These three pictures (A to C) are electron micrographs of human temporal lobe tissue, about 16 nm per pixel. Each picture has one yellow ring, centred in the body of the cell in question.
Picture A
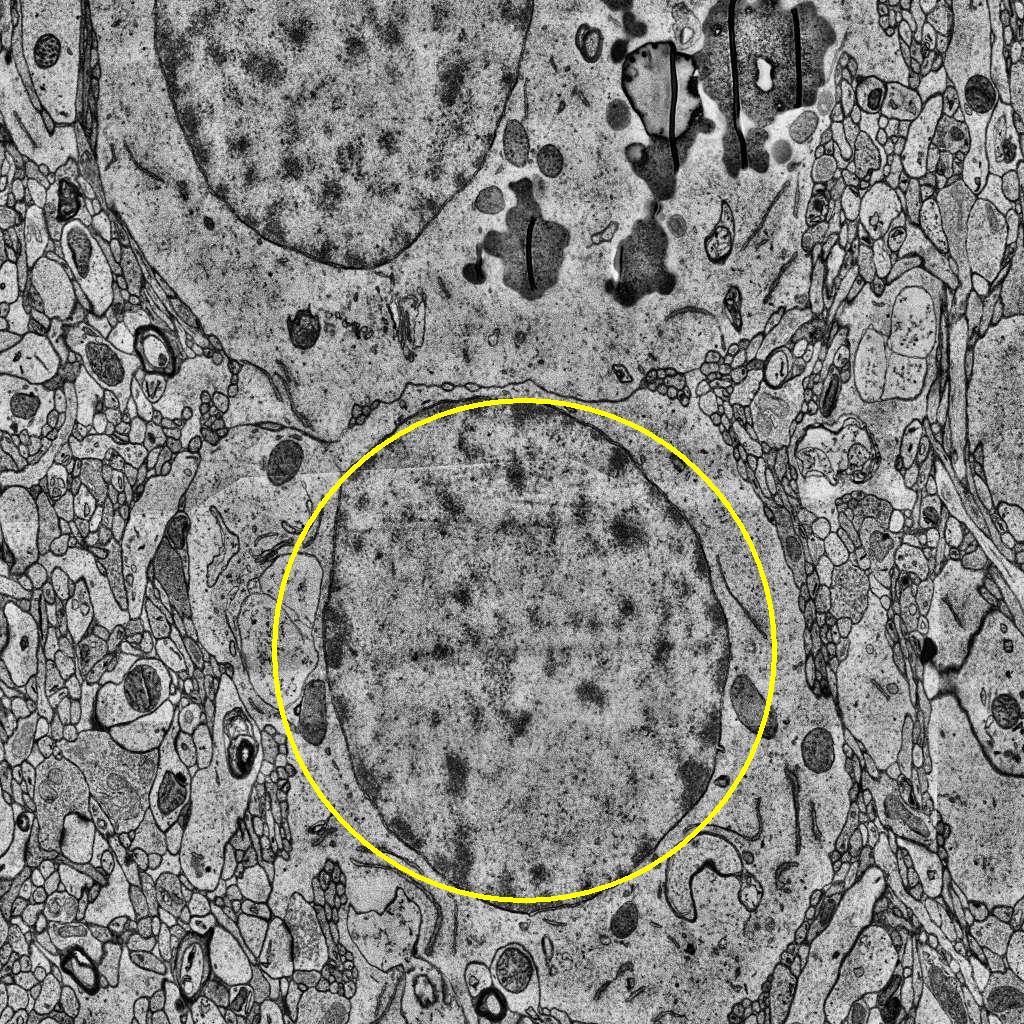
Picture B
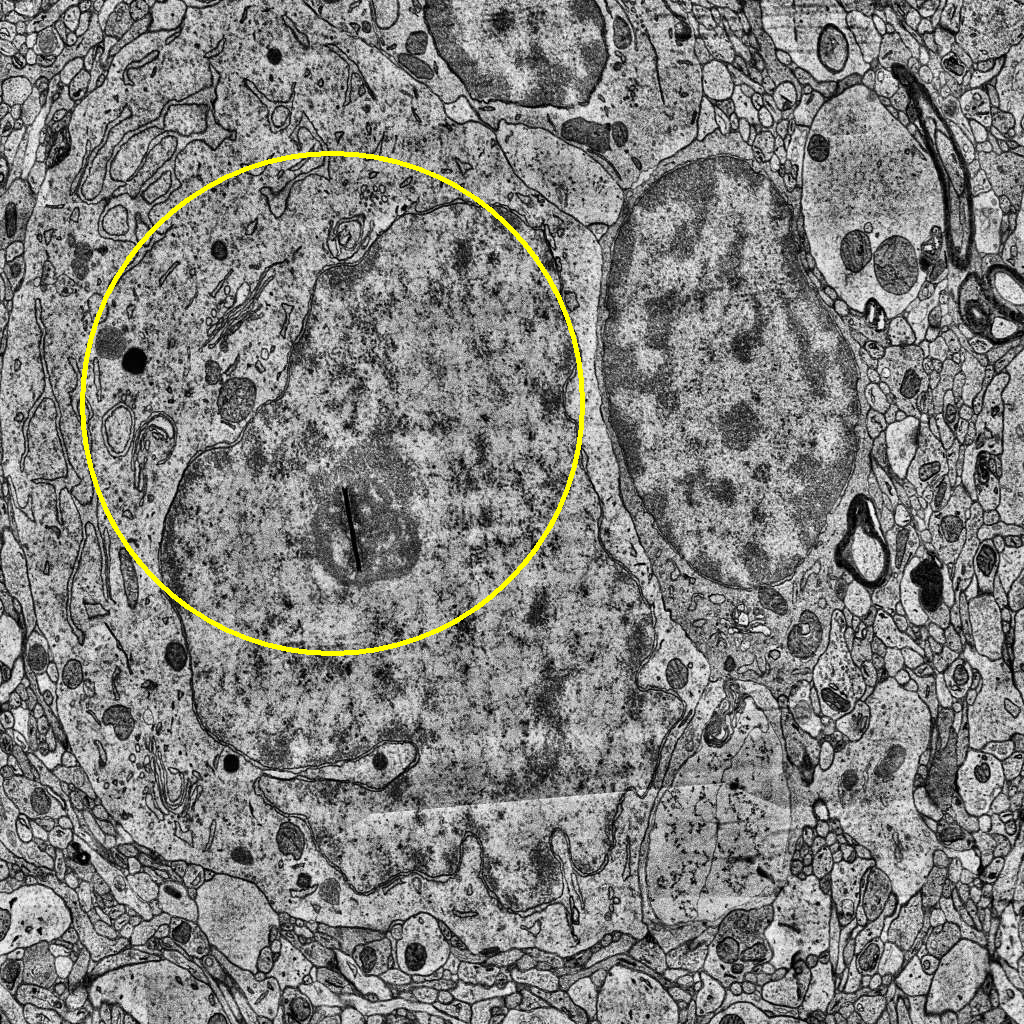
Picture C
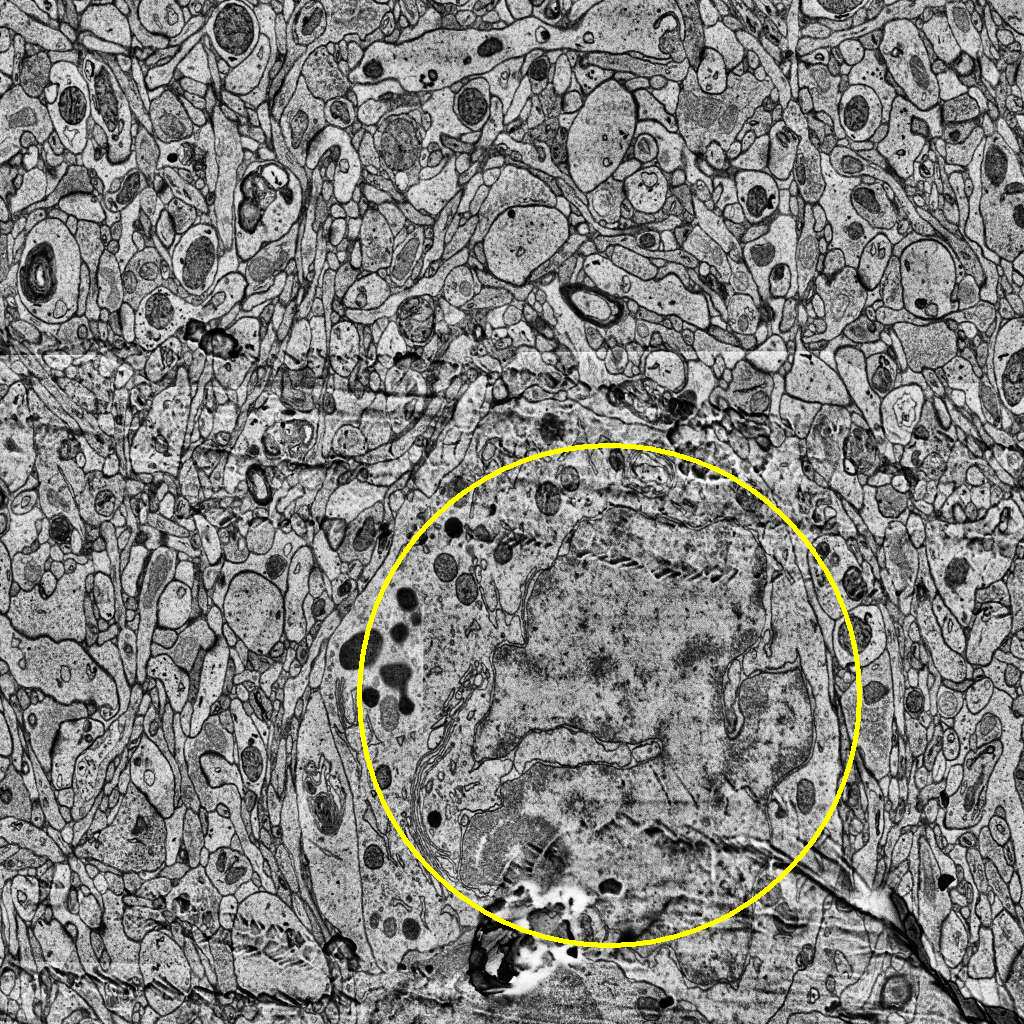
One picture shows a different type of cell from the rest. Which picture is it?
Picture A is the odd one out: it shows an astrocyte, while the others show interneurons.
